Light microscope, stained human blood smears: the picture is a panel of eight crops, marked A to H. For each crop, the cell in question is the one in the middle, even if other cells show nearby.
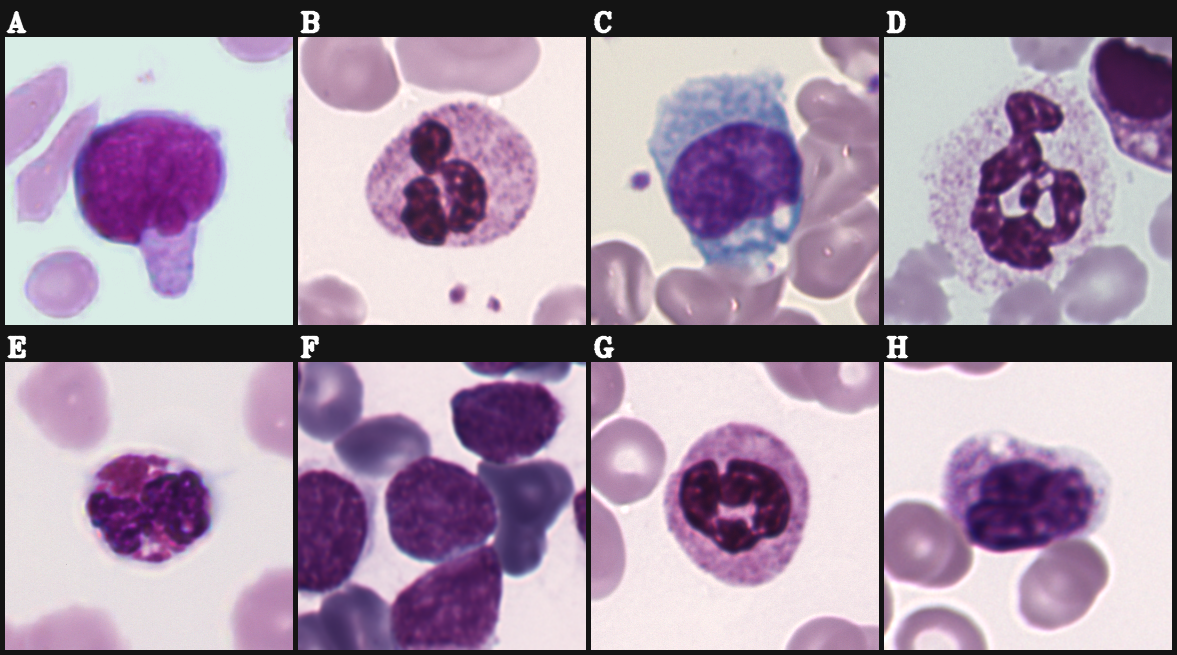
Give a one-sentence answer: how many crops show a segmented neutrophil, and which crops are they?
Crops B, D, G and H show segmented neutrophils, which makes four such crops.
